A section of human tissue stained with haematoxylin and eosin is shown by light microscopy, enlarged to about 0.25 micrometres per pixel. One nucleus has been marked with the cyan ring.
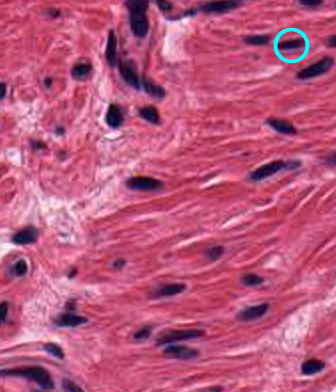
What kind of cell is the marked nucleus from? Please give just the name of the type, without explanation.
smooth muscle cell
